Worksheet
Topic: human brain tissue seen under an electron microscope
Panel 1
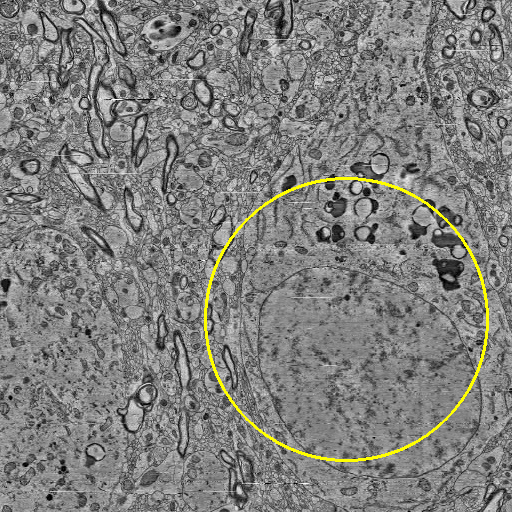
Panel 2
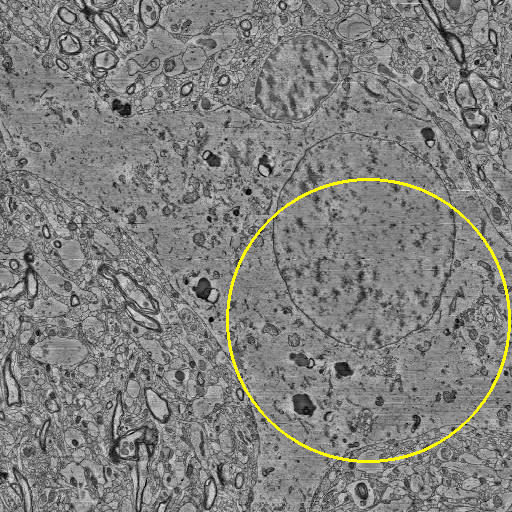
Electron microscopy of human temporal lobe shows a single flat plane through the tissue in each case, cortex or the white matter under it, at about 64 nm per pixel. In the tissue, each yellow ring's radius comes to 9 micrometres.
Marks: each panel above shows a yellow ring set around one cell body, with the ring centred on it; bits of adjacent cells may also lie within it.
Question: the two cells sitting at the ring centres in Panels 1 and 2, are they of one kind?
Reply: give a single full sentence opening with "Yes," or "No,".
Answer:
Yes, the two ring-centre cells in Panel 1 and Panel 2 are of one kind.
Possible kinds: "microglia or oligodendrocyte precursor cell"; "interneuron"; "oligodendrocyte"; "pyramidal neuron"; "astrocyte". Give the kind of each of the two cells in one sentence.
The second cell is a pyramidal neuron, just as the first is.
